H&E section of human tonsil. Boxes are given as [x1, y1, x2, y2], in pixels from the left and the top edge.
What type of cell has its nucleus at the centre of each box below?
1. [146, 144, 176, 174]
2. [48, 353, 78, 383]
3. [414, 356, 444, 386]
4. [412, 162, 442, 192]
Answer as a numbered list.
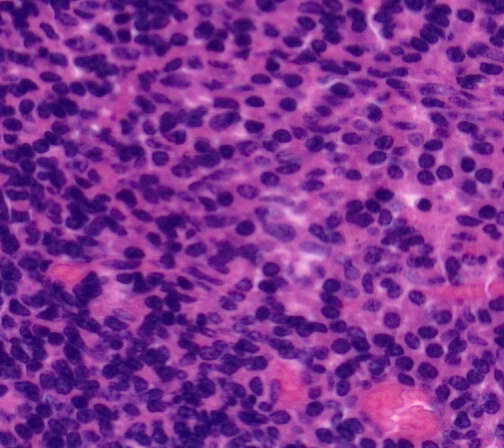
1. plasma cell
2. small lymphocyte
3. plasma cell
4. plasma cell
